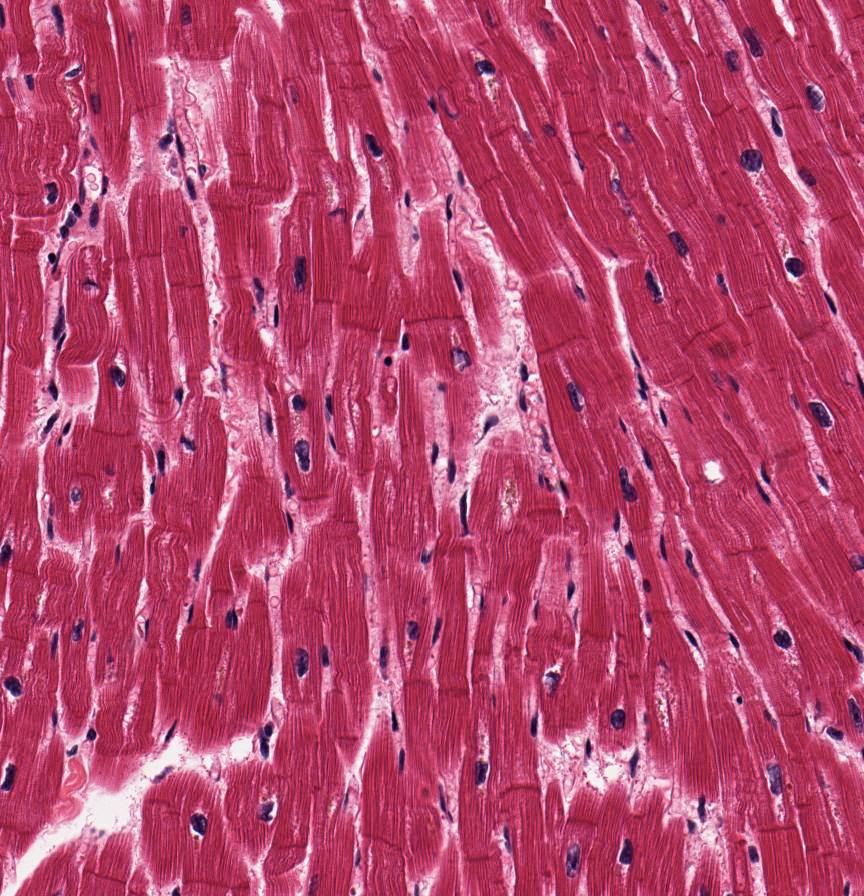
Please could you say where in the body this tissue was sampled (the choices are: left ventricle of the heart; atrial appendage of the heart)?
left ventricle of the heart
